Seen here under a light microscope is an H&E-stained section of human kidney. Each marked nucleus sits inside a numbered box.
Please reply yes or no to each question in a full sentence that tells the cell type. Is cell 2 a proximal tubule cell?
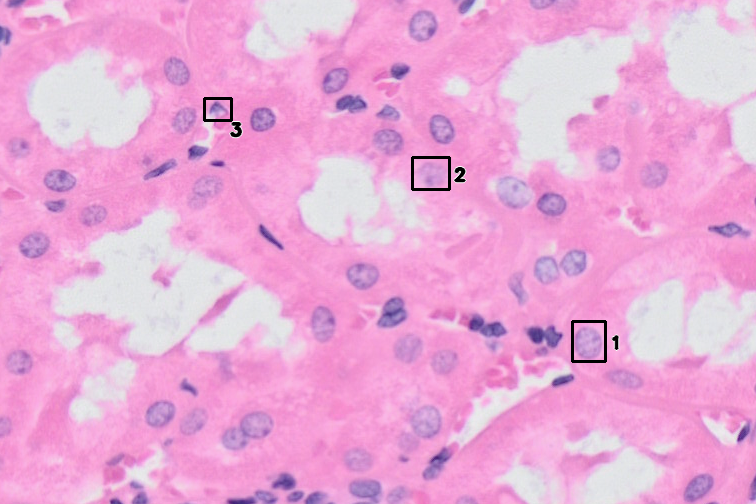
Yes, looking at number 2, that cell is a proximal tubule cell.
